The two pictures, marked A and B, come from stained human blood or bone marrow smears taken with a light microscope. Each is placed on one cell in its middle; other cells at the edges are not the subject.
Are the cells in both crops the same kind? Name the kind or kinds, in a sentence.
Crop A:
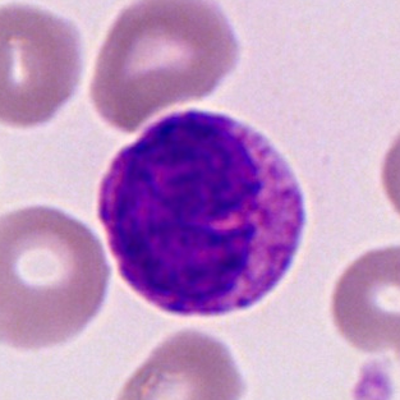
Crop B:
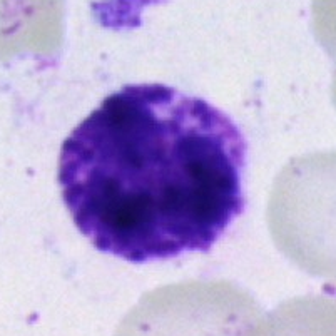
Yes, the same answer goes for both crops, namely basophils.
